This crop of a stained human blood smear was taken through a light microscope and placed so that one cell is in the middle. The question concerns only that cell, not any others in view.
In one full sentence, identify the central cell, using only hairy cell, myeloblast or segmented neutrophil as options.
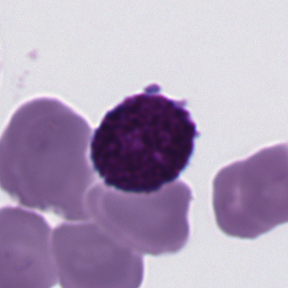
The cell at the centre of the field is a myeloblast.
